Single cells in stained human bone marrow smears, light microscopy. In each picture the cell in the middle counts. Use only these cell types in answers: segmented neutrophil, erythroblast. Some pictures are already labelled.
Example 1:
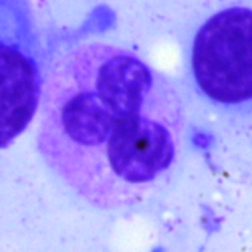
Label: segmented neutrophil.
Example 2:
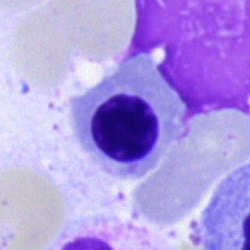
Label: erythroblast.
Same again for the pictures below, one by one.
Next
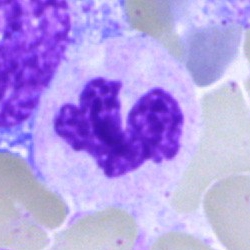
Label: segmented neutrophil.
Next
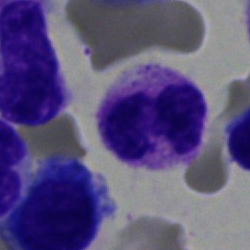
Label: segmented neutrophil.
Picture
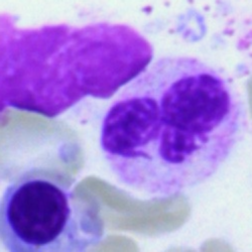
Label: segmented neutrophil.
